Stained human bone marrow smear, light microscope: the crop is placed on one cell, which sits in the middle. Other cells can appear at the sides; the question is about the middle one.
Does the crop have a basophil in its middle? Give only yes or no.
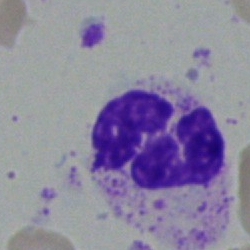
yes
